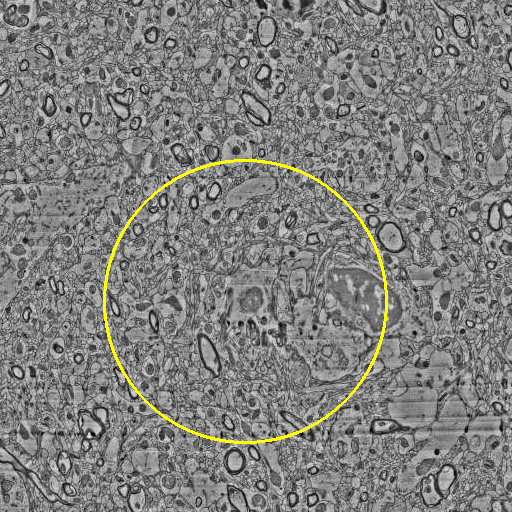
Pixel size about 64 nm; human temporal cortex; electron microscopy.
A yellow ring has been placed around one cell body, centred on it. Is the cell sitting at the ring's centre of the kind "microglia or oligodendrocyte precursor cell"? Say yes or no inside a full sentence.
Yes, the cell sitting at the centre of the yellow ring is of that kind.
